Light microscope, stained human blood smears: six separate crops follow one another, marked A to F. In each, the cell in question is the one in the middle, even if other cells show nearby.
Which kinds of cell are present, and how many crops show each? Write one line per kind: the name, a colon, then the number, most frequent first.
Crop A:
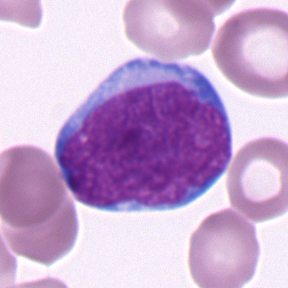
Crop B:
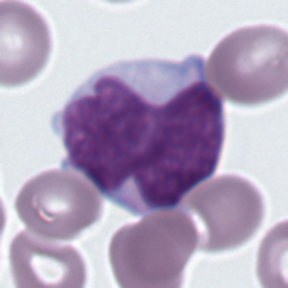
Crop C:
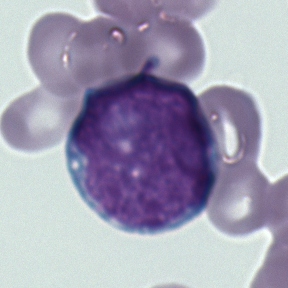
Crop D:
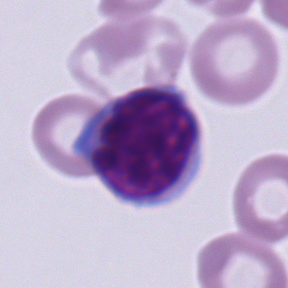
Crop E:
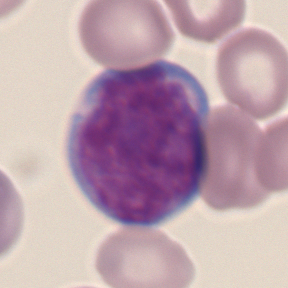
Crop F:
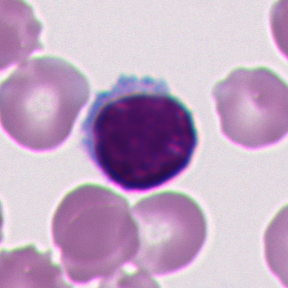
myeloblast: 3
lymphocyte: 2
atypical promyelocyte: 1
